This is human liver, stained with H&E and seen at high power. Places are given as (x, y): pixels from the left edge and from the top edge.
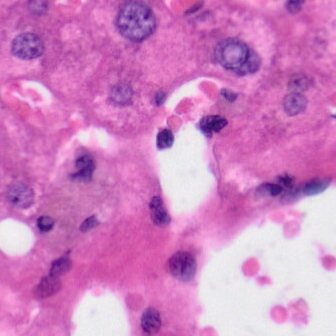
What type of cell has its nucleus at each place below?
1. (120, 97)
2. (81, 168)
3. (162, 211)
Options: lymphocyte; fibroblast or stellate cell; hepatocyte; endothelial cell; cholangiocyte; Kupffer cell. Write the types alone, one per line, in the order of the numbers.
hepatocyte
Kupffer cell
fibroblast or stellate cell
